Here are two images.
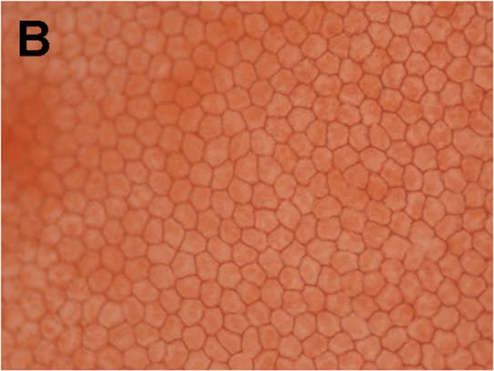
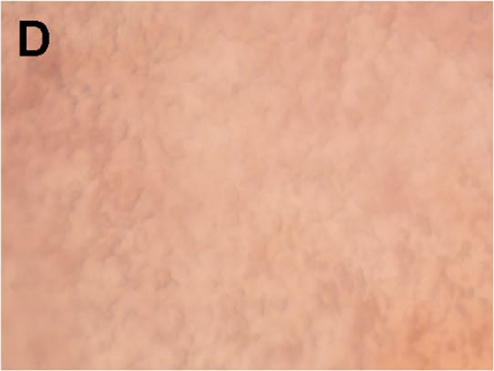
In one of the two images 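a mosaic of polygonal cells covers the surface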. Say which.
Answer: The first image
